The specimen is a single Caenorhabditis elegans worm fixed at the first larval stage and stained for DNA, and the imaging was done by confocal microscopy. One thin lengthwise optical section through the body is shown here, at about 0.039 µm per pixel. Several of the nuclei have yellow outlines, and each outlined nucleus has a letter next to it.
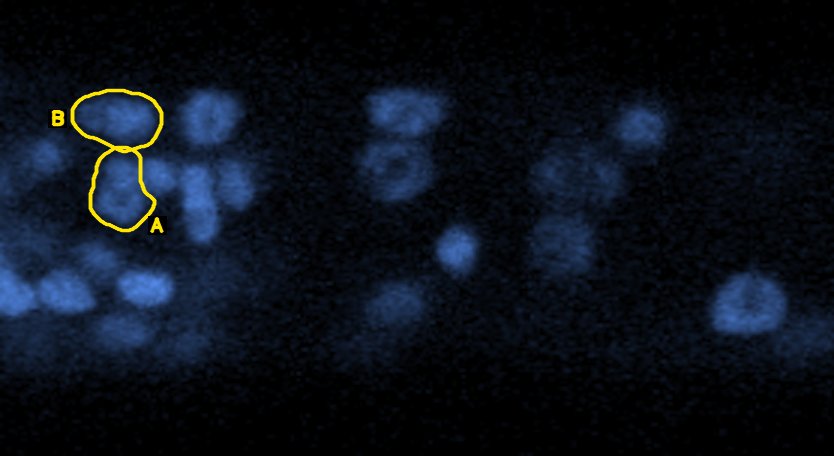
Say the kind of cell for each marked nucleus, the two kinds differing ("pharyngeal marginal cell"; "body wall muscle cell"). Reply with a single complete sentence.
One is from a pharyngeal marginal cell, namely A, and the other, B, is from a body wall muscle cell.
